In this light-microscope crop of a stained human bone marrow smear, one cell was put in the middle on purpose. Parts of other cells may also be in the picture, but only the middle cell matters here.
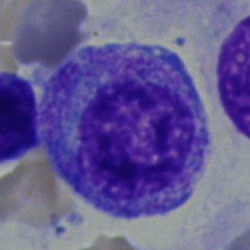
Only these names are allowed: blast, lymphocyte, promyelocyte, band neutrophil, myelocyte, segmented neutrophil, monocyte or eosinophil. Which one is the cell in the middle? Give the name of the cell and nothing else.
myelocyte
